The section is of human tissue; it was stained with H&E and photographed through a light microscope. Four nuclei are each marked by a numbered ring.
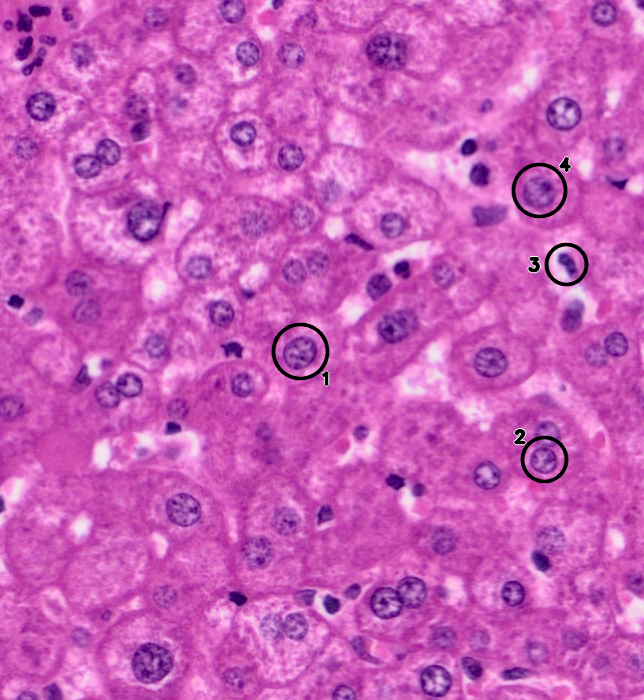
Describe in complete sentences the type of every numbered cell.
Cell 1 is a hepatocyte, cell 2 is a hepatocyte, cell 3 is a lymphocyte and cell 4 is a hepatocyte.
